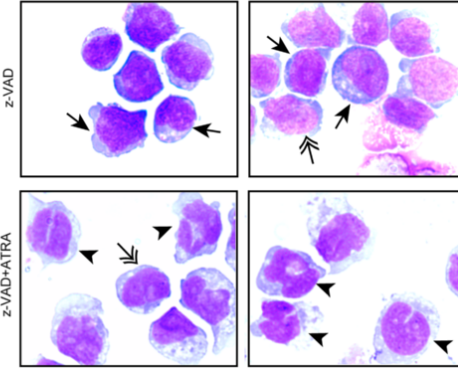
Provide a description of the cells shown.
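Four fields of stained myeloid cells. In the upper fields cells lie close together, mostly large with round purple nuclei that fill most of the cell and a narrow bluish cytoplasmic rim, typical of blasts; a few show a wider cytoplasm as intermediate forms. In the lower fields the cells lie apart and look different: nuclei are irregular, indented or kidney-like, some appear folded, and a broad, pale, ragged cytoplasm surrounds them, consistent with mature cells. Staining runs from deep purple chromatin to light blue-grey cytoplasm.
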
